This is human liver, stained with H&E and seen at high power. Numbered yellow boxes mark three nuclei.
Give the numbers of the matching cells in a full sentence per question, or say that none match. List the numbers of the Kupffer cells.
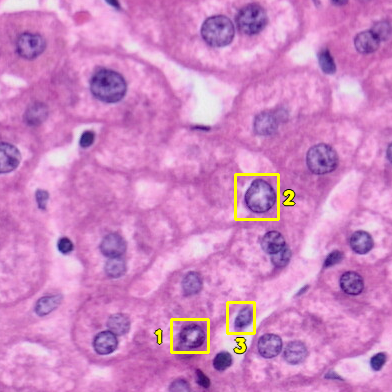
The cell bearing the number 3 is a Kupffer cell, unlike the rest of the numbered cells.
